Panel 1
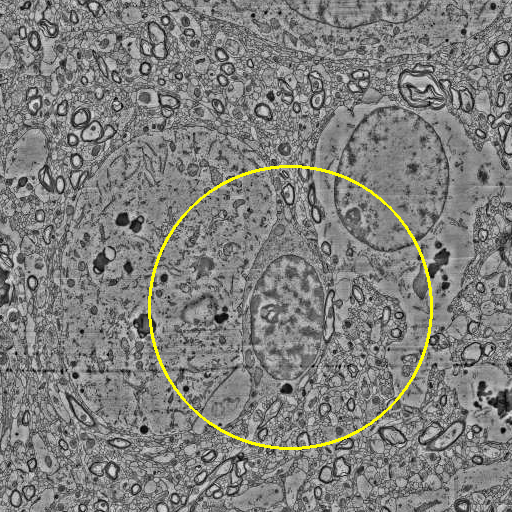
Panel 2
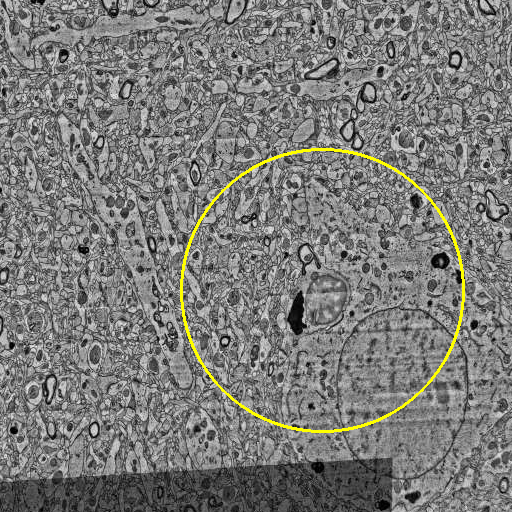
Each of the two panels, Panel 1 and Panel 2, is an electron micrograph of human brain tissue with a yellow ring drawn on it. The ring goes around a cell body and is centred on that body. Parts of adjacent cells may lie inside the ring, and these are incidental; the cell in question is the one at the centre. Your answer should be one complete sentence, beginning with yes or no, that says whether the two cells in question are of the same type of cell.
Yes, the two cells are of the same type.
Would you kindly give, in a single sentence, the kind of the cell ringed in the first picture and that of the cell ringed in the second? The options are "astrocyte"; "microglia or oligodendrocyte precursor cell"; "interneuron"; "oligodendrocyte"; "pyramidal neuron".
Both pictures show an oligodendrocyte at the centre of the ring.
